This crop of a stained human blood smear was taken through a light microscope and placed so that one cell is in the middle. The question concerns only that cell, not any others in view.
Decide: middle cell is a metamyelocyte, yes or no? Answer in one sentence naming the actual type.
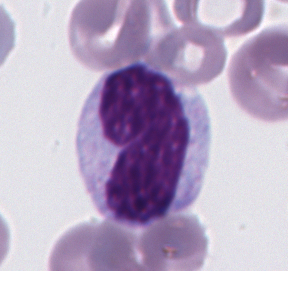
No, it is a band neutrophil that sits in the middle, not a metamyelocyte.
